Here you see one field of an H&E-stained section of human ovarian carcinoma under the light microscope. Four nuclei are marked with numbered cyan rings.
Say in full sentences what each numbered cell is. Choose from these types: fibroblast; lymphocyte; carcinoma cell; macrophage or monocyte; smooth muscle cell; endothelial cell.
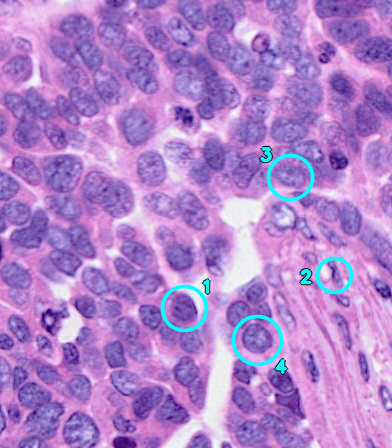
Cell 1 is a carcinoma cell, cell 2 is a fibroblast, cell 3 is a carcinoma cell and cell 4 is a carcinoma cell.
